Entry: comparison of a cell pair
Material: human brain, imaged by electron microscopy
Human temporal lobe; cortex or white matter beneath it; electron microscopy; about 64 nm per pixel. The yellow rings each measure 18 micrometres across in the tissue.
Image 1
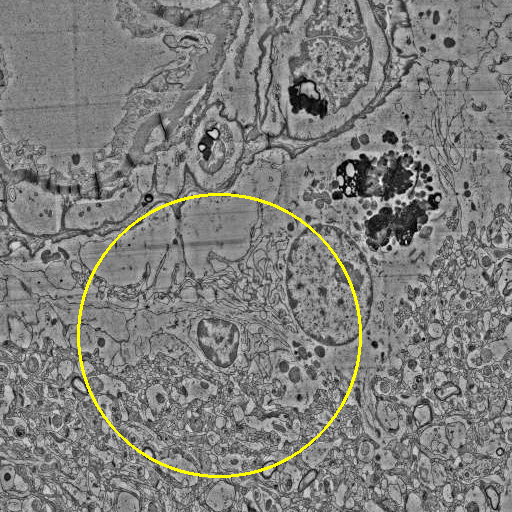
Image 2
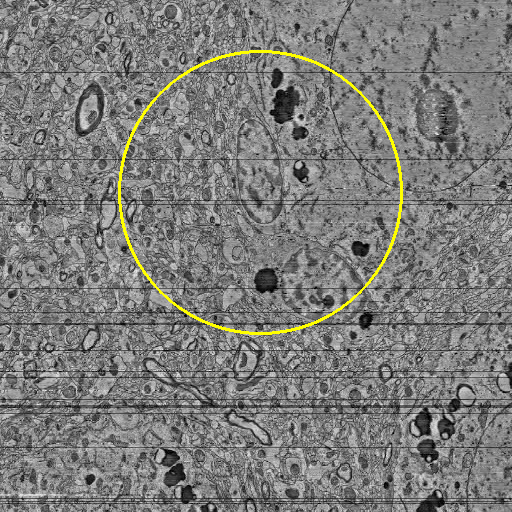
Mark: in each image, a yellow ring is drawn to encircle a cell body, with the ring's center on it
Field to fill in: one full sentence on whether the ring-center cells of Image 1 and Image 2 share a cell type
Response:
Yes, Image 1 and Image 2 each show a ring-center cell of one shared type.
